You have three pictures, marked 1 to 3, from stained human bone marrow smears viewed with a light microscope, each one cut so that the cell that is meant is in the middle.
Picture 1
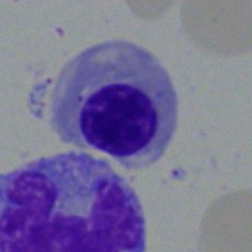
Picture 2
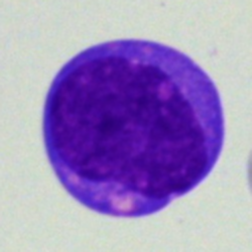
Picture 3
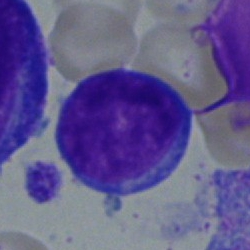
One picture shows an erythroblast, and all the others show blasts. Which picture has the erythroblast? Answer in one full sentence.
Picture 1 shows the erythroblast.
